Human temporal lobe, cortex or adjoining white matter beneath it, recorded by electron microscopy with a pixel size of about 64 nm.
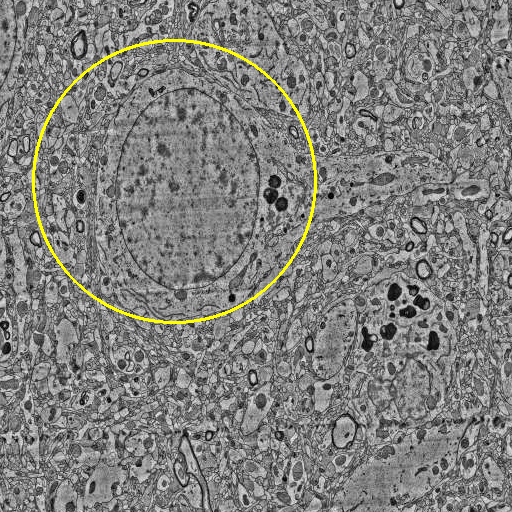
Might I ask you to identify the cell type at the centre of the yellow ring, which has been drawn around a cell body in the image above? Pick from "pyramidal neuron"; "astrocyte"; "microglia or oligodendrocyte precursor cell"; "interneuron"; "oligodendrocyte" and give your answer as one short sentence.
The centre of the ring falls on a pyramidal neuron.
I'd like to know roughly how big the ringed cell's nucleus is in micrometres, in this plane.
The ringed cell's nucleus is about 13 micrometres long and 9 micrometres wide in this plane.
